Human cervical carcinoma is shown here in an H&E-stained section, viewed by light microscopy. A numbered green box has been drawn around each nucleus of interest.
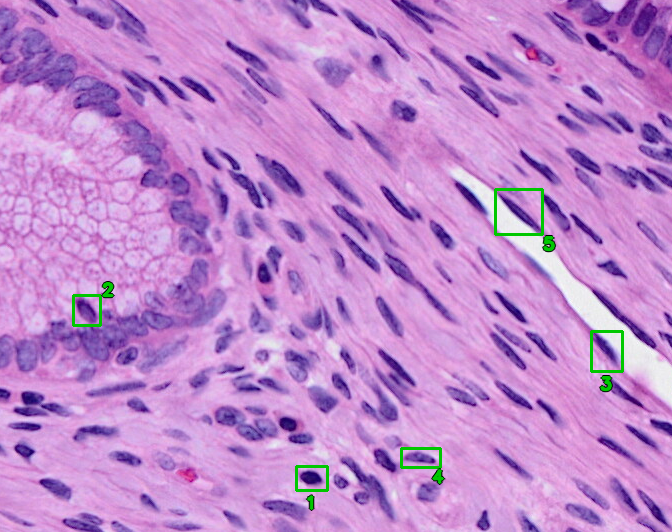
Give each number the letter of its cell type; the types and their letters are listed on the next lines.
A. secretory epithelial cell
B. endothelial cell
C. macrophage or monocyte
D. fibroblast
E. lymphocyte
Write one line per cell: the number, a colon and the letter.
1: E
2: A
3: B
4: D
5: B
